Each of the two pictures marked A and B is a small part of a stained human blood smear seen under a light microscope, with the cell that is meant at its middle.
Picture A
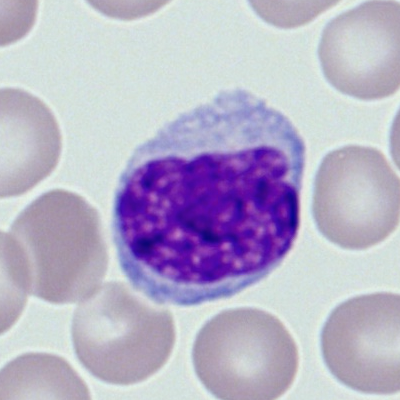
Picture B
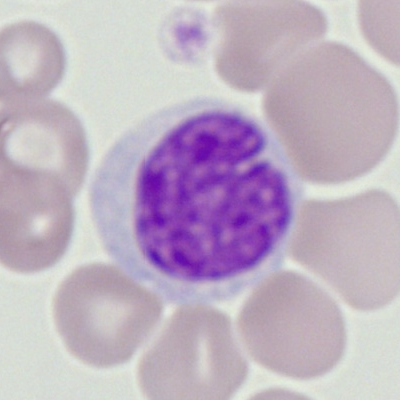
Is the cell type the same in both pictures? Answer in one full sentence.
Yes; the cells in both pictures are monocytes.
